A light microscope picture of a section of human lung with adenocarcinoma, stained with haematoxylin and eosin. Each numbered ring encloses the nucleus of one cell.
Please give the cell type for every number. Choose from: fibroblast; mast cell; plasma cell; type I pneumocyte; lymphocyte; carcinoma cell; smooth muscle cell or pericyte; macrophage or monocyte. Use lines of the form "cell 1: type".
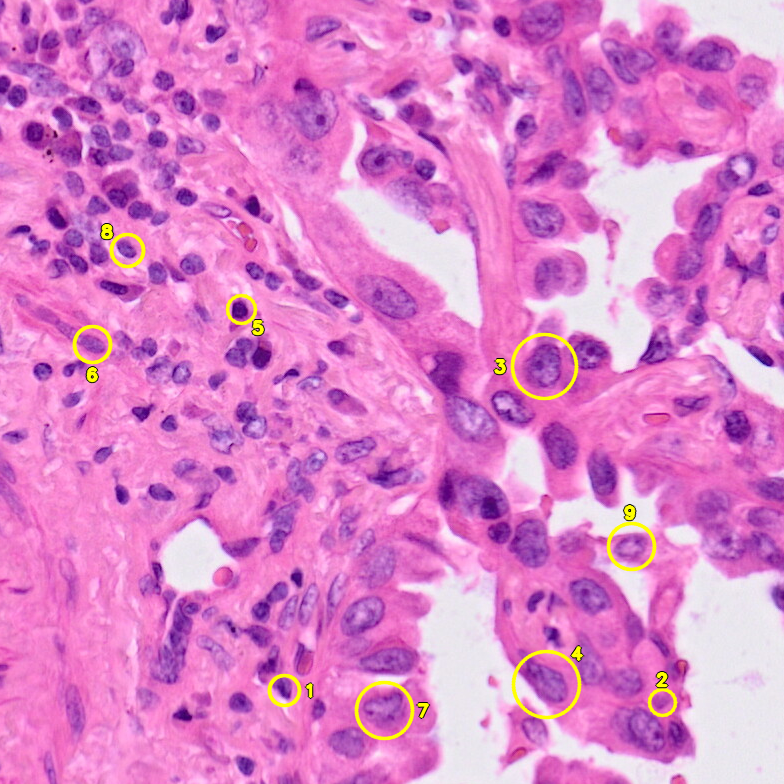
cell 1: lymphocyte
cell 2: carcinoma cell
cell 3: carcinoma cell
cell 4: carcinoma cell
cell 5: plasma cell
cell 6: smooth muscle cell or pericyte
cell 7: carcinoma cell
cell 8: lymphocyte
cell 9: macrophage or monocyte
